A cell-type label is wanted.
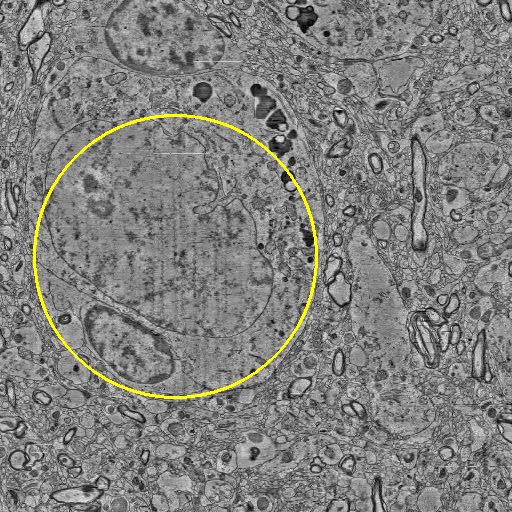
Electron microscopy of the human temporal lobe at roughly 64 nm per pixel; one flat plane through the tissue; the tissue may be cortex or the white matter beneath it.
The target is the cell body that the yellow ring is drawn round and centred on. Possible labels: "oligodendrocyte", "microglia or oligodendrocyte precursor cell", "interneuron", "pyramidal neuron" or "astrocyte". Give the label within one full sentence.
Of the labels offered, the cell in the middle of the yellow ring is a pyramidal neuron.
